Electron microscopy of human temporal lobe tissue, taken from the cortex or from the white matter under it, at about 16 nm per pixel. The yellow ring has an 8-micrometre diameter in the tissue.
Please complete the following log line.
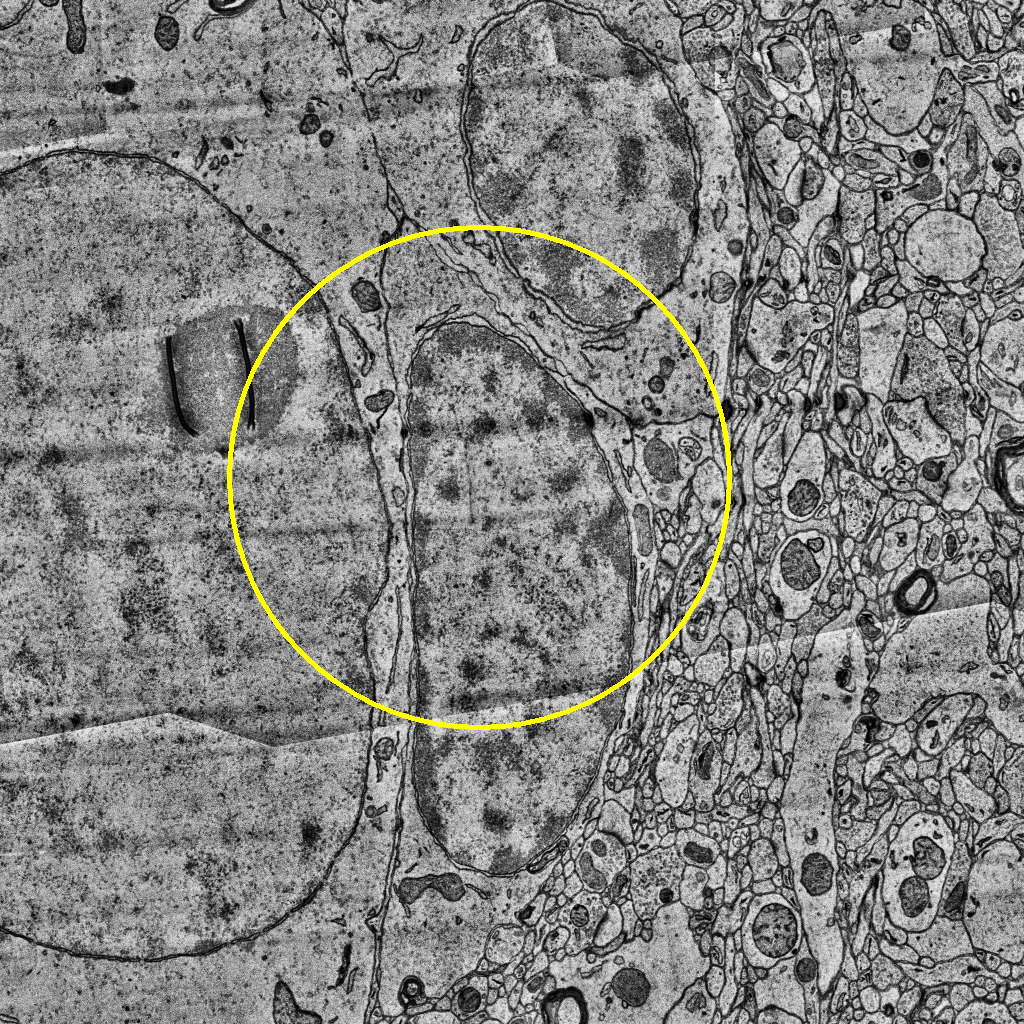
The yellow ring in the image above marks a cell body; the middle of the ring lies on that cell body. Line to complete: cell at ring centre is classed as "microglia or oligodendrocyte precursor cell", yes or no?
yes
